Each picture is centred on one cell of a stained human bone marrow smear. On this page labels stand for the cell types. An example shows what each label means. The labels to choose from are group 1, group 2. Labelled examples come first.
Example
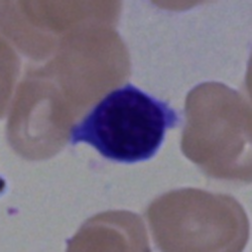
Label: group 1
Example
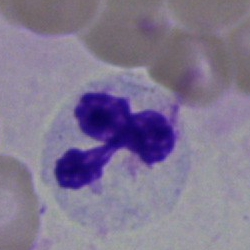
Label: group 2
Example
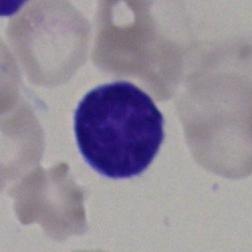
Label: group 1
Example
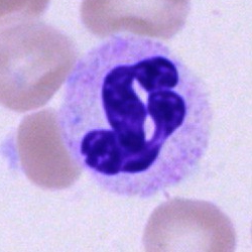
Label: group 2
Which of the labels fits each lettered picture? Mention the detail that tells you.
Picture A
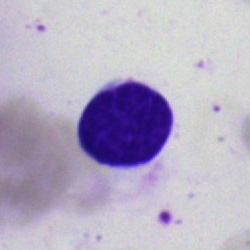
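group 1. Reason: Cytoplasm is scarcely visible, at most a thin pale rim at the upper edge.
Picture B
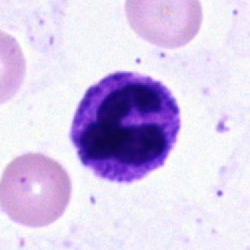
group 2. Reason: The nucleus is a thick curved band bent into a C shape.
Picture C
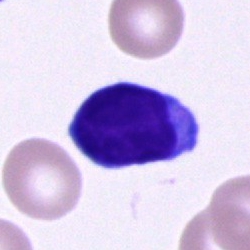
group 1. Reason: The nucleus fills most of the cell.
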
